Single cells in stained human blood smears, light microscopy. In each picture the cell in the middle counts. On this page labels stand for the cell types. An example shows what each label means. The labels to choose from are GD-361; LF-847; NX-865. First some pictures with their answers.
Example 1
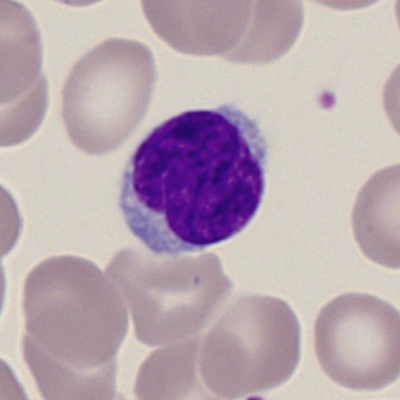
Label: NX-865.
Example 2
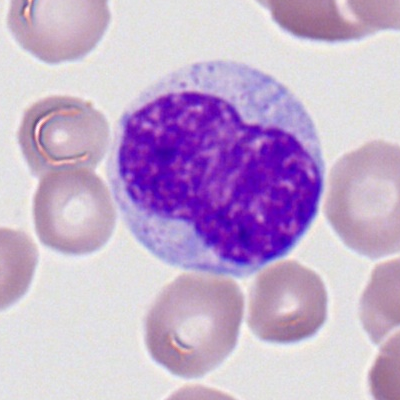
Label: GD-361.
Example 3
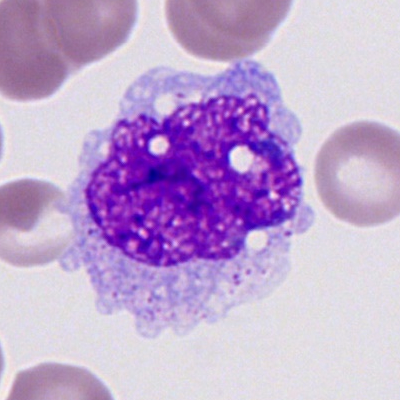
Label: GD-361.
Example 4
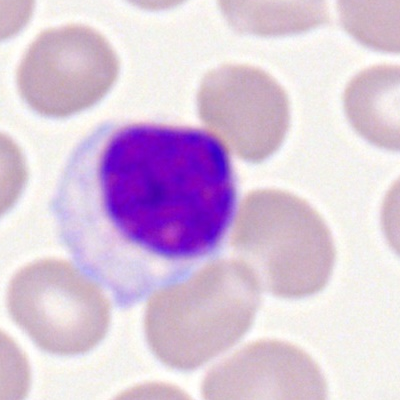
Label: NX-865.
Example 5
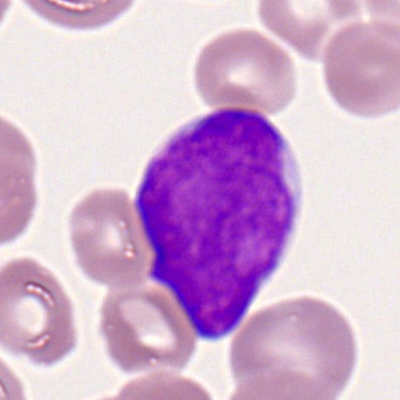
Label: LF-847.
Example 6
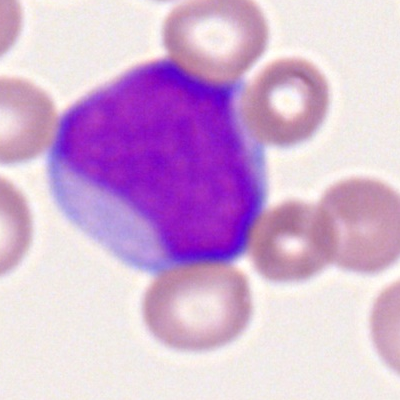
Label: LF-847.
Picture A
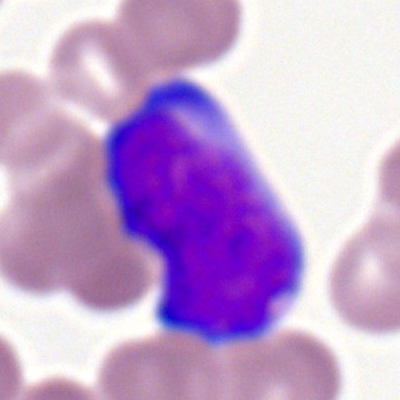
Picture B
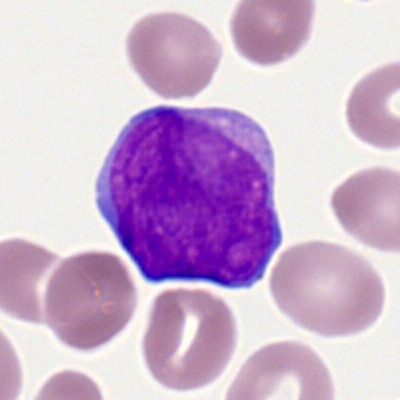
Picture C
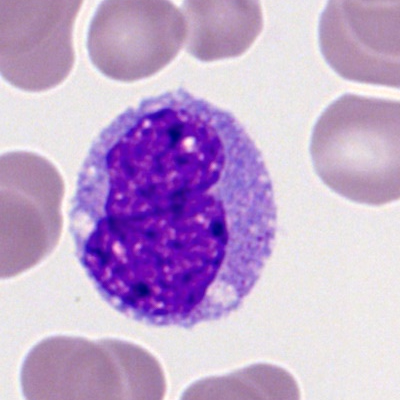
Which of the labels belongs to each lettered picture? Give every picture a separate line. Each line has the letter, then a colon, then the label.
A: LF-847.
B: LF-847.
C: GD-361.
